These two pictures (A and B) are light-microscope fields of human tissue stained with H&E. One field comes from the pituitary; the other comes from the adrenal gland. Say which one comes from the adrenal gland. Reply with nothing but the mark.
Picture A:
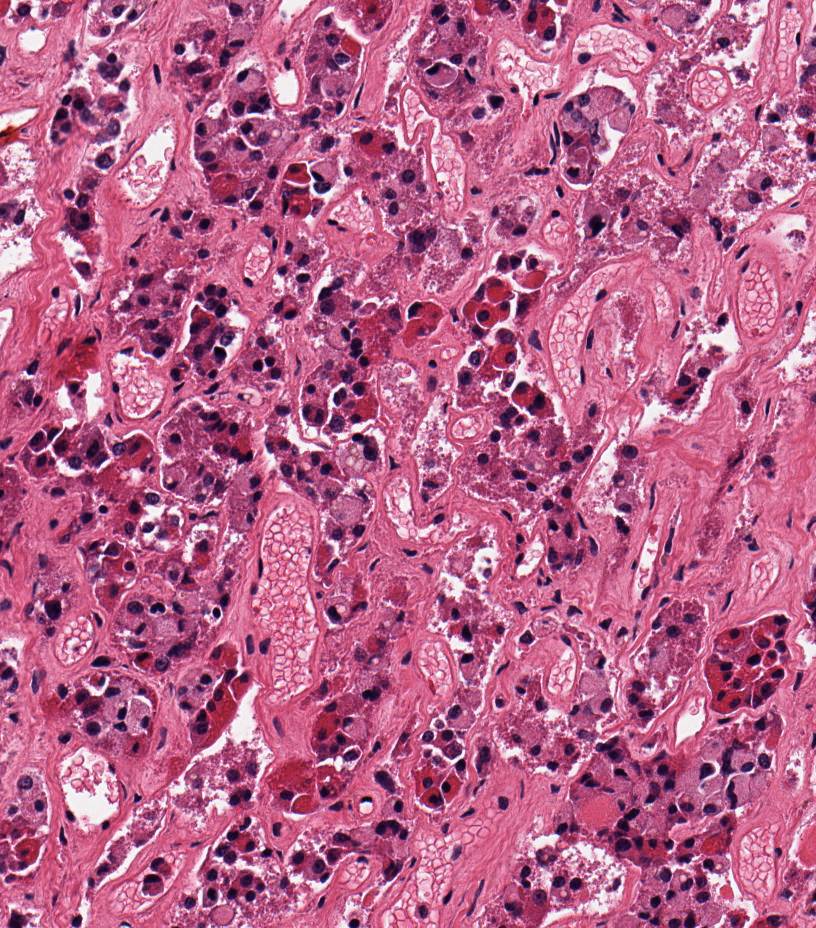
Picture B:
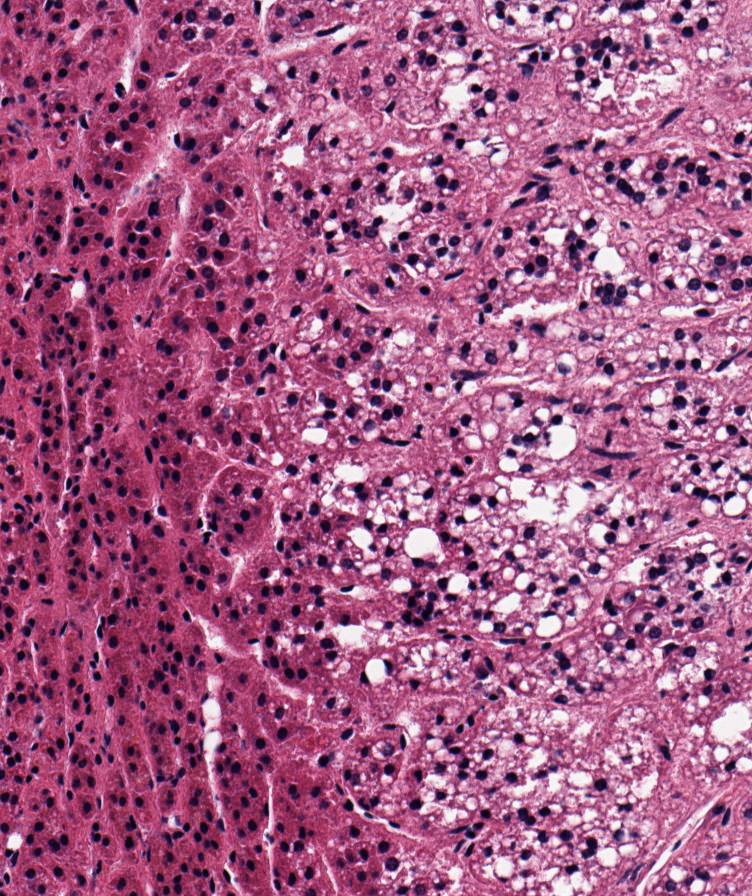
B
